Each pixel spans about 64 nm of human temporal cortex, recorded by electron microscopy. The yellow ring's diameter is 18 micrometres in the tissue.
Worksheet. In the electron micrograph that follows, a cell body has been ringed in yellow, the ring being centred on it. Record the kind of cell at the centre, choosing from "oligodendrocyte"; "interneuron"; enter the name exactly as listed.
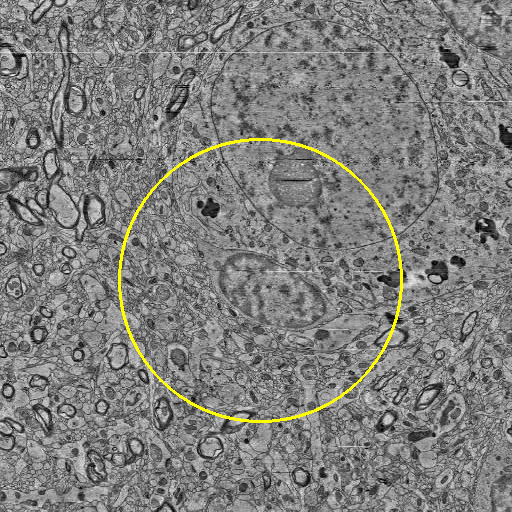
oligodendrocyte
